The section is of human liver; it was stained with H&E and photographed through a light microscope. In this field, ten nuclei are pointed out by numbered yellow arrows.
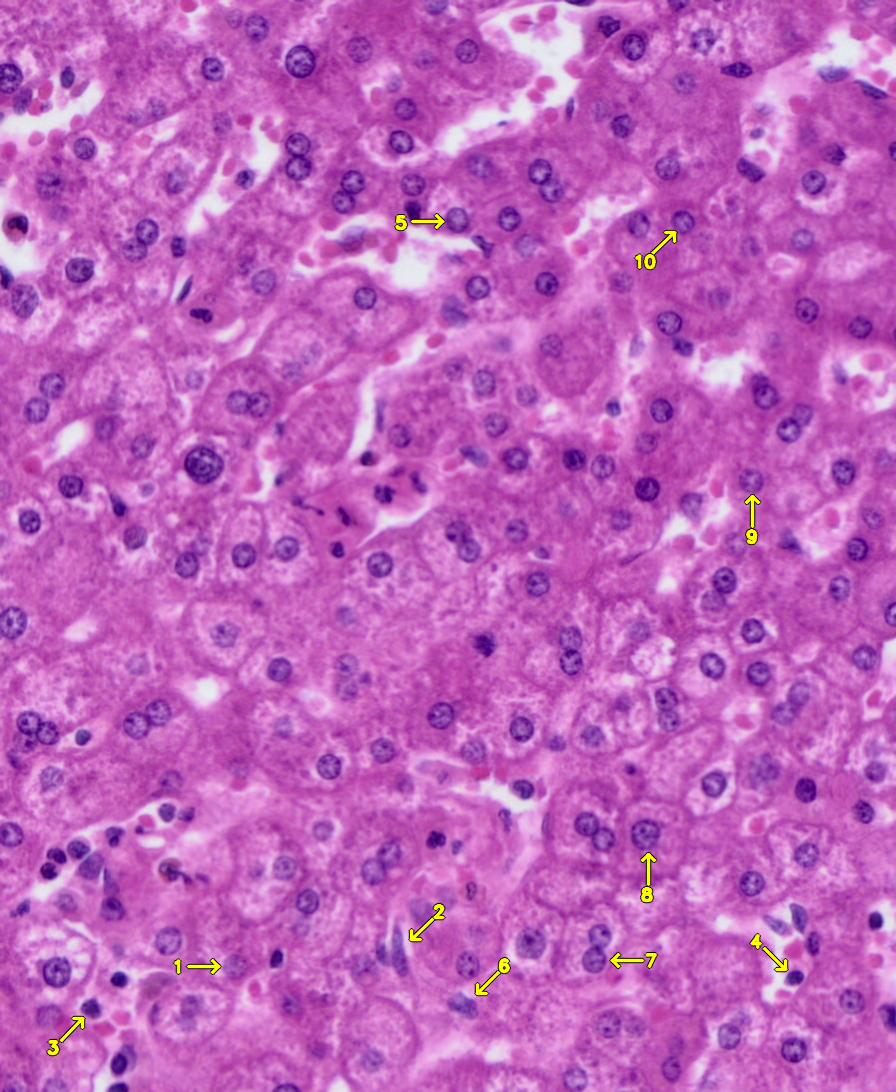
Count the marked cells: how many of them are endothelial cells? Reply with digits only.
1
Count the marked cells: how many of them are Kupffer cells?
1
